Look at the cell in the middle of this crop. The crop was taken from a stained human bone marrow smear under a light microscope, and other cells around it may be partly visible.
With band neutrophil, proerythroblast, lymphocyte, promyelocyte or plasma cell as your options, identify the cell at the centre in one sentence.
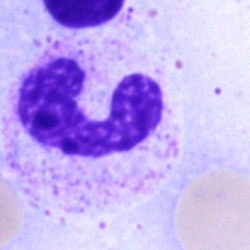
Located at the centre of the crop is a band neutrophil.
